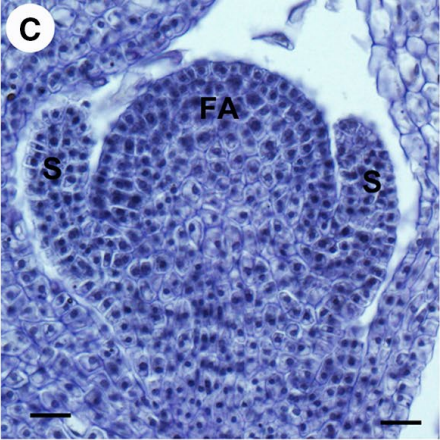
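Longitudinal section of a floral meristem with a broad dome-shaped floral apex flanked on both sides by elongating sepal primordia. The apex is made of small, tightly packed cells with dense cytoplasm and dark nuclei, arranged in regular layers at the surface, while cells deeper in the meristem are somewhat larger and paler.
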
